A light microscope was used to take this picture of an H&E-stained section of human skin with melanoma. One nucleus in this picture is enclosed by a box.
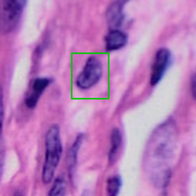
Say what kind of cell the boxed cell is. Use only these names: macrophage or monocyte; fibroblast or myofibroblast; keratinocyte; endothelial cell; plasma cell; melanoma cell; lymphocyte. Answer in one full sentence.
By its classification, the boxed cell is a lymphocyte.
